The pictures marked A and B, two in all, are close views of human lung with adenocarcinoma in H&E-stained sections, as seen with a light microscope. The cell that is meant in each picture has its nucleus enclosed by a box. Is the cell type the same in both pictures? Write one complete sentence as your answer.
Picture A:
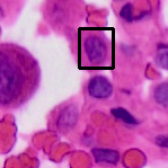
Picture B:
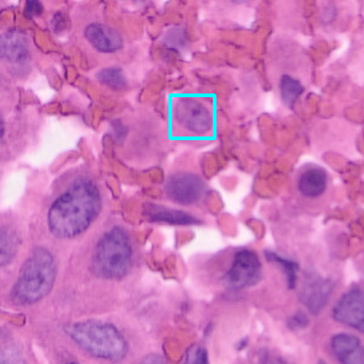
Yes, both are “macrophages or monocytes”.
